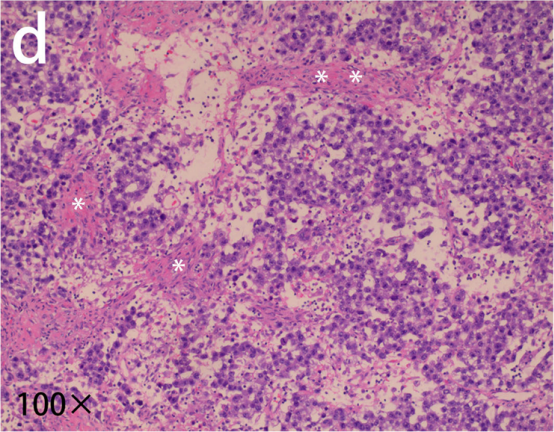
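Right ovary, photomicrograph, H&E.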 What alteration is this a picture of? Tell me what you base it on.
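Crowded cells with purple nuclei form nests and clusters. The clusters are divided by pink fibrous bands. On this evidence: tumor cells arranged in islands.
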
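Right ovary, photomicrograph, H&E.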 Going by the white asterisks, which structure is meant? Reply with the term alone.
Fibrous septa.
